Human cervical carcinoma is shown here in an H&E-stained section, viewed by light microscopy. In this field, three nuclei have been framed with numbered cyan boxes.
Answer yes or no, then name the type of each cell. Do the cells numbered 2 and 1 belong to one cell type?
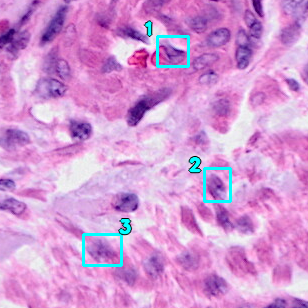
No, unlike cell 1, which is an endothelial cell, cell 2 is a fibroblast.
